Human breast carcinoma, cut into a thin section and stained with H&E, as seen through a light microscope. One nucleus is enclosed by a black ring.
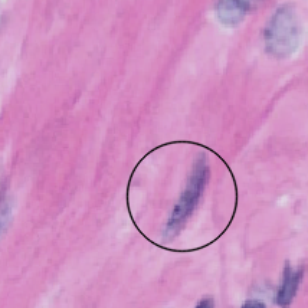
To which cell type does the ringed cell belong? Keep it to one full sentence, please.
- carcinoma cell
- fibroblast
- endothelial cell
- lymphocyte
Histopathologically, the ringed cell is a fibroblast.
